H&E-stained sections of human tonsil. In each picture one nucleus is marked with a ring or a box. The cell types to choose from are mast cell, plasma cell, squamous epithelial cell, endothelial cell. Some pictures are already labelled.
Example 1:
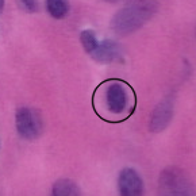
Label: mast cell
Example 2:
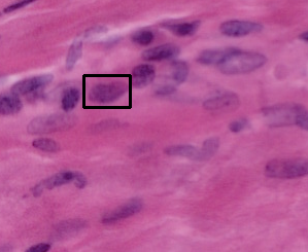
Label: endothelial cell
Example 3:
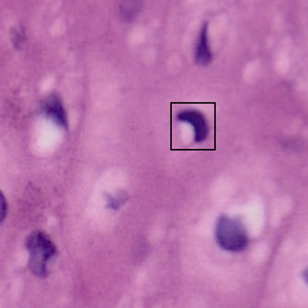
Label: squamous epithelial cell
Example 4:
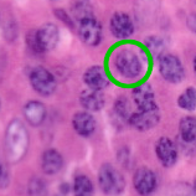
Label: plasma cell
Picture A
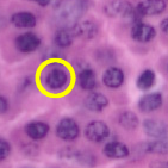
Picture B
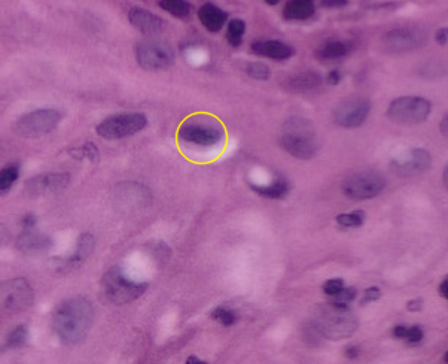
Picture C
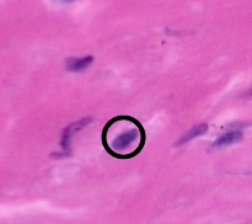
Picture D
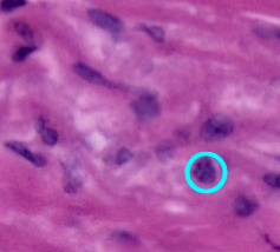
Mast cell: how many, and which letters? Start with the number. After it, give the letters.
2, namely C, D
